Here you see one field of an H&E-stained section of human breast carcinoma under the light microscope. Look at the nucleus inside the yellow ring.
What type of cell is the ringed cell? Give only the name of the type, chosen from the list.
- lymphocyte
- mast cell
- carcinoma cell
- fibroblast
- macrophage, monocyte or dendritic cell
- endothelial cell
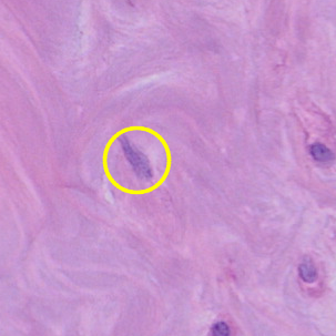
fibroblast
